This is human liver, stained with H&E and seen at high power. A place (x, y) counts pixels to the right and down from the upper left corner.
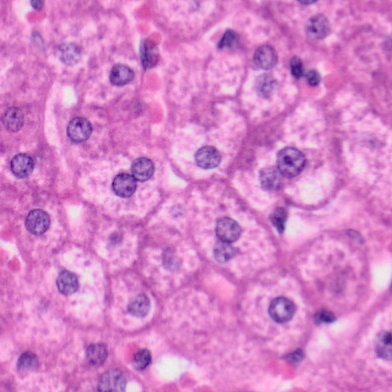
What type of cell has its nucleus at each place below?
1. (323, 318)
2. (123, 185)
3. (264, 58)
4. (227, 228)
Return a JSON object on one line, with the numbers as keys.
{"1": "endothelial cell", "2": "hepatocyte", "3": "hepatocyte", "4": "hepatocyte"}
